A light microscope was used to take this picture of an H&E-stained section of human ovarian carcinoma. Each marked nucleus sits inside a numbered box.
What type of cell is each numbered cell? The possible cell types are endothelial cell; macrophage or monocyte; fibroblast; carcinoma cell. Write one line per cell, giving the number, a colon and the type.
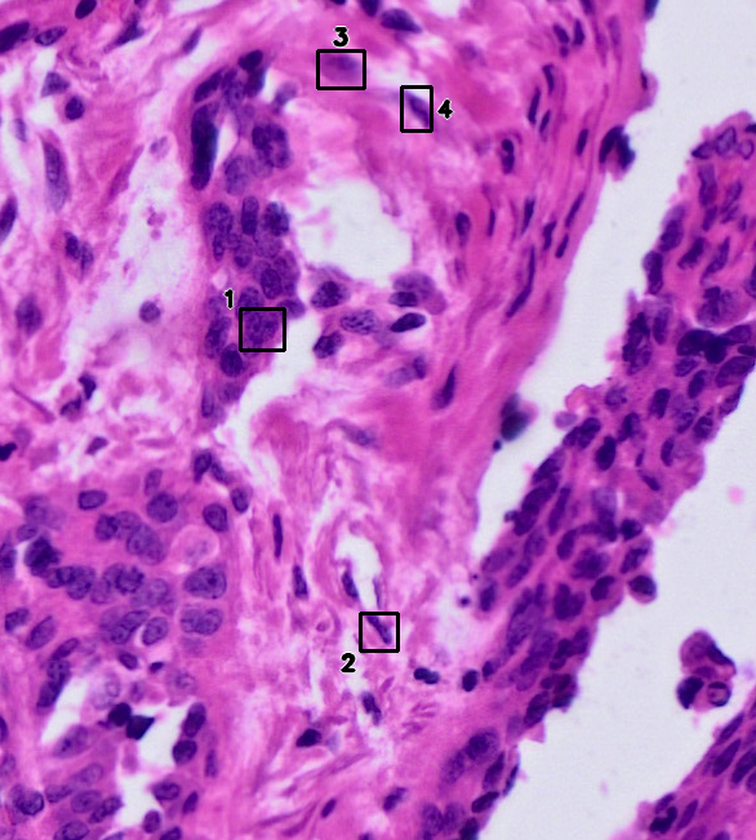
1: carcinoma cell
2: fibroblast
3: fibroblast
4: fibroblast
